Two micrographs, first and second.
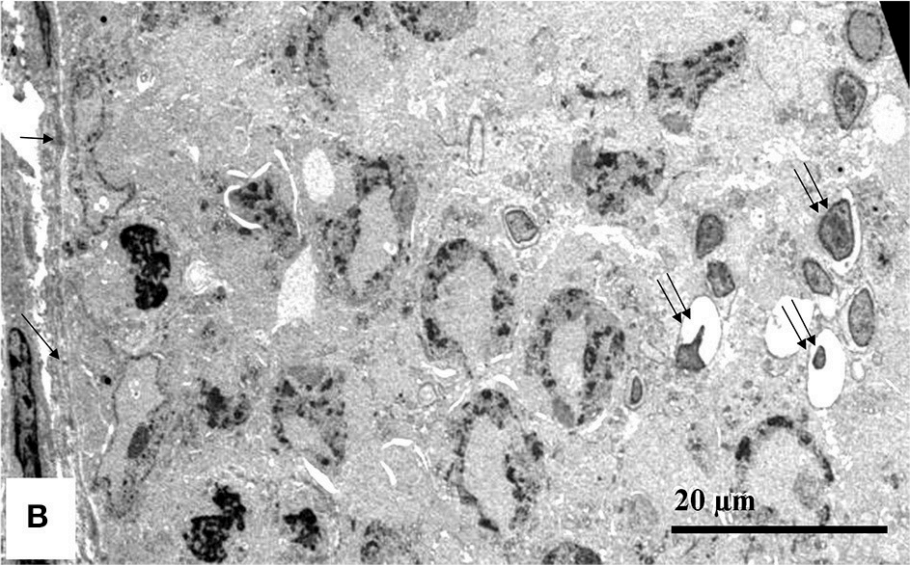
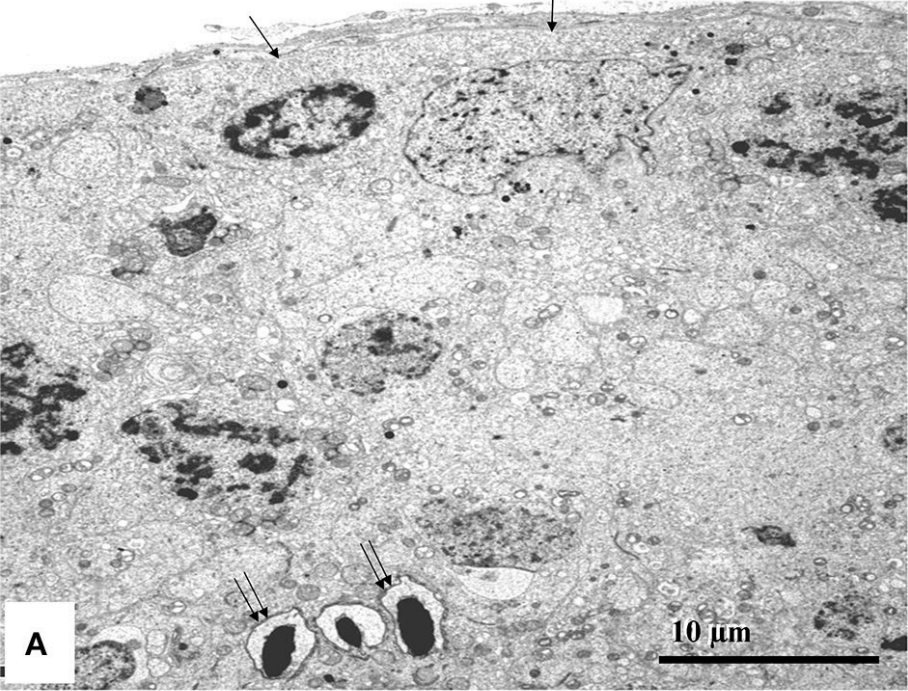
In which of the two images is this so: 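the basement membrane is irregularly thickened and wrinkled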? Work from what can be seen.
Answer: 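The first image. First image: the outer border of the tissue at the left is layered and uneven. Second image: the outer border at the top is a thin smooth line.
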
